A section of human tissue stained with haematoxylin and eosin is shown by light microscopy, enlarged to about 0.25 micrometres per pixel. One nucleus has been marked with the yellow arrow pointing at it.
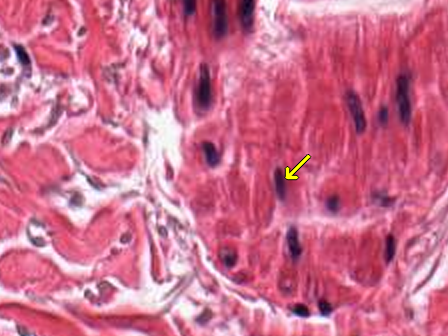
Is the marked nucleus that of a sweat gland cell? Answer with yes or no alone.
no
